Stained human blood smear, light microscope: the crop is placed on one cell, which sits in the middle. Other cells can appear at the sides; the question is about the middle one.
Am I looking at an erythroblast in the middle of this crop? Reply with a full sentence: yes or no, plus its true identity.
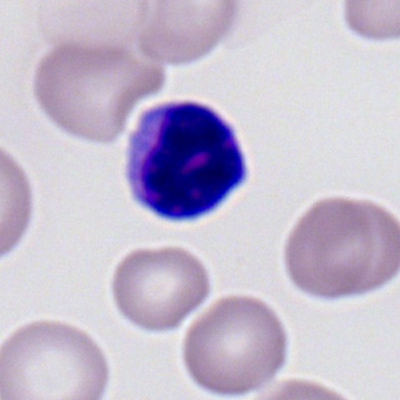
No, this cell in the middle is a lymphocyte, so it is not an erythroblast.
